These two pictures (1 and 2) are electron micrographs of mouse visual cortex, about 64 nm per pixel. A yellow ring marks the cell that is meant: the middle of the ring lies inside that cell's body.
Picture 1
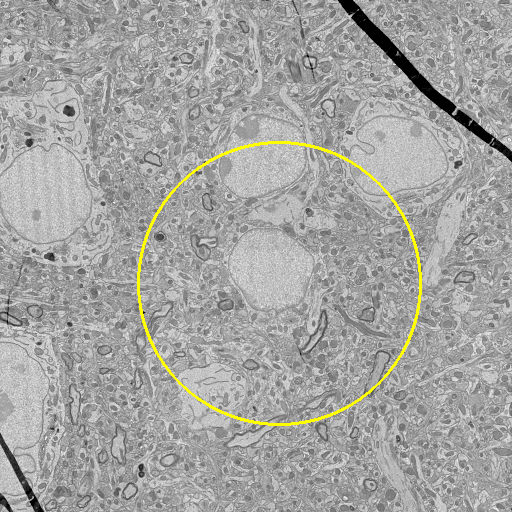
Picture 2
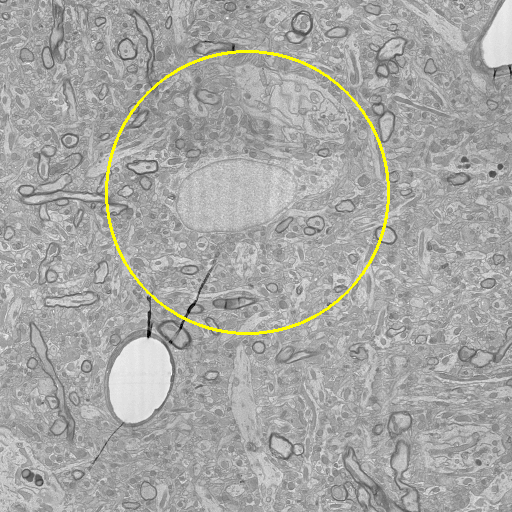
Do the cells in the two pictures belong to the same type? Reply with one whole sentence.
Yes, they are the same type: both are astrocytes.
